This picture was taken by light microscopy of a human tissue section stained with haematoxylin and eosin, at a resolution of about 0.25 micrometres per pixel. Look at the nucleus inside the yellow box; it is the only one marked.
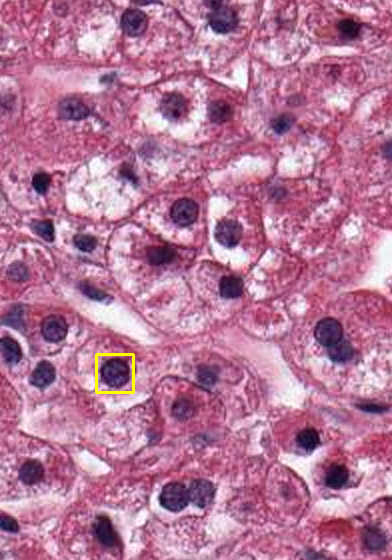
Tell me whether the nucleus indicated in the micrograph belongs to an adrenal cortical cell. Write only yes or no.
yes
